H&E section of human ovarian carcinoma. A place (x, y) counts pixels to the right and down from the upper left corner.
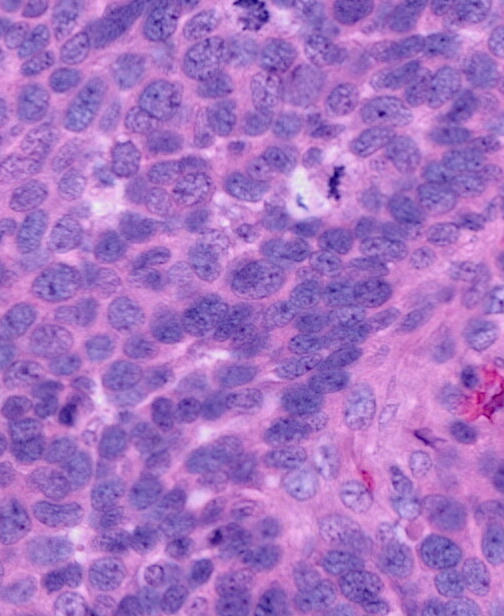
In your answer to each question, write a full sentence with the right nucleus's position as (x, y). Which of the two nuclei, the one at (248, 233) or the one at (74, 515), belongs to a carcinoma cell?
The nucleus at (74, 515) is the one that belongs to a carcinoma cell.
